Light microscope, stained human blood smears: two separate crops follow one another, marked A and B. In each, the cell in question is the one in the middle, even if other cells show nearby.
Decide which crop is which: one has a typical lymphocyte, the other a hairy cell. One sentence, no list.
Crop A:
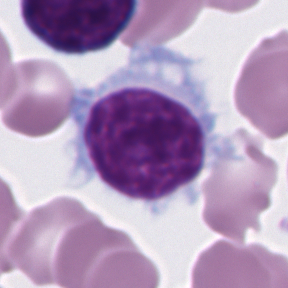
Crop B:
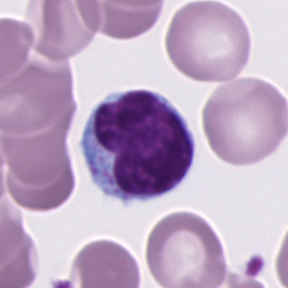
Classification: crop A is a hairy cell, crop B is a typical lymphocyte.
